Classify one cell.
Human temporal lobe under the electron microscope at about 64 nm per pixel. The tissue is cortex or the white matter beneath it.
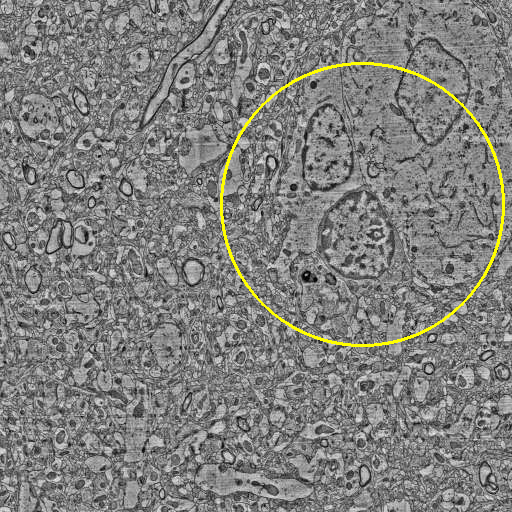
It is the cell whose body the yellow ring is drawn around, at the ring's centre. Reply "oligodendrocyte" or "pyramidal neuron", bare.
oligodendrocyte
